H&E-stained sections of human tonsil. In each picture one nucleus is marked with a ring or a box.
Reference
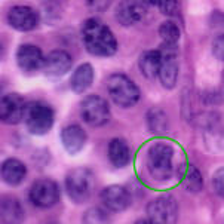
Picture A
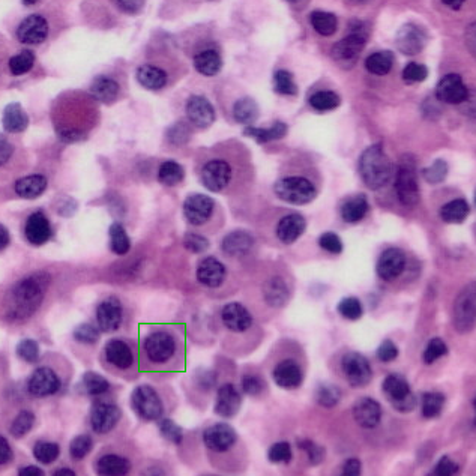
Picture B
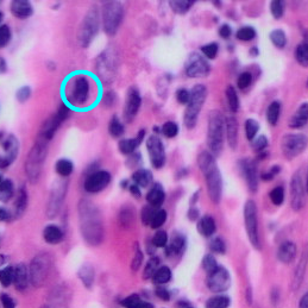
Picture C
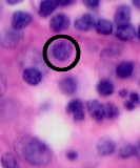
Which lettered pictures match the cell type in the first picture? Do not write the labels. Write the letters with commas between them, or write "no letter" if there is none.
A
